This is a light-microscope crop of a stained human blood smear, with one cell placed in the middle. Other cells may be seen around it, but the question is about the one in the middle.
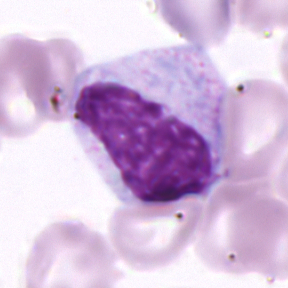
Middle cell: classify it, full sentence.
At the center of the crop sits a metamyelocyte.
